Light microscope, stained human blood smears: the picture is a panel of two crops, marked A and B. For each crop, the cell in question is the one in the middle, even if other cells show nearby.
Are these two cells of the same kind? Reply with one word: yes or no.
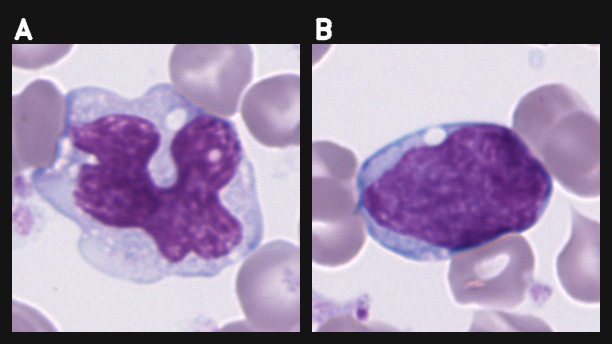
no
